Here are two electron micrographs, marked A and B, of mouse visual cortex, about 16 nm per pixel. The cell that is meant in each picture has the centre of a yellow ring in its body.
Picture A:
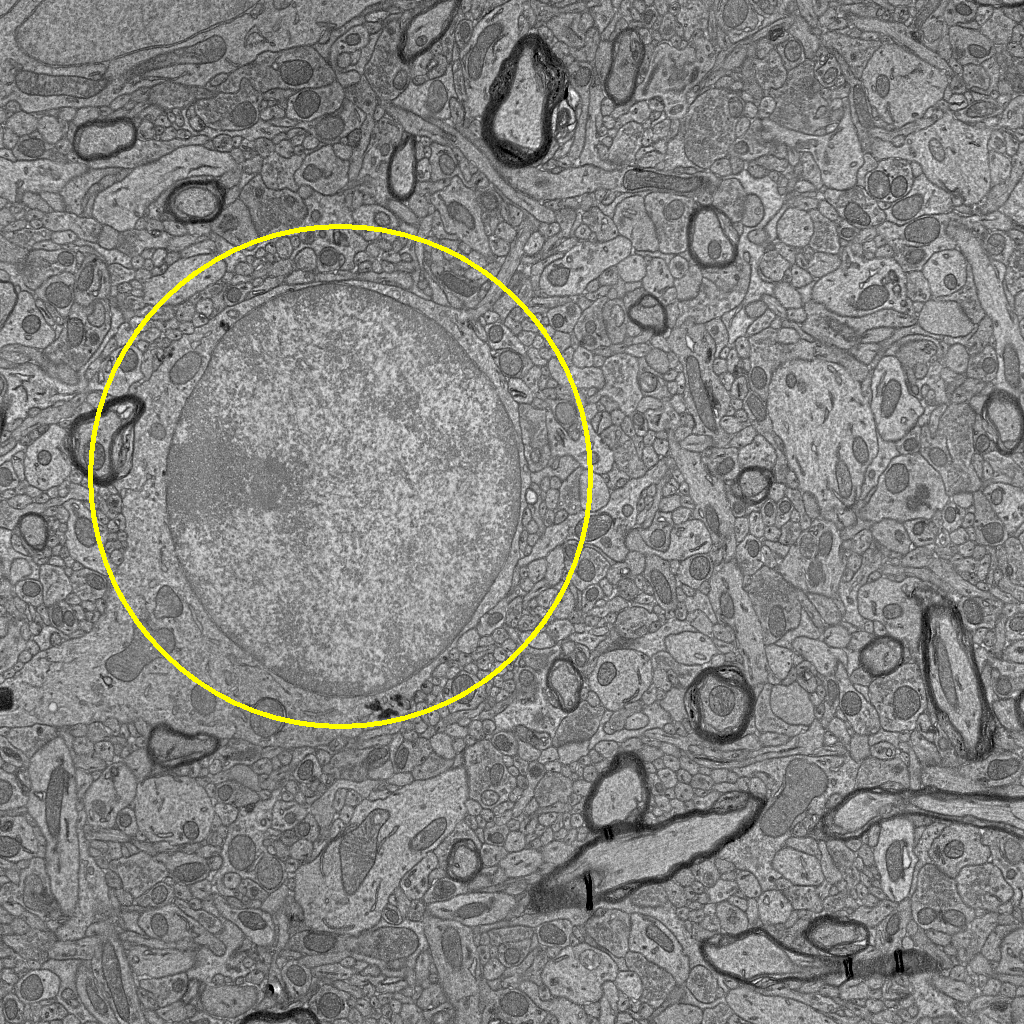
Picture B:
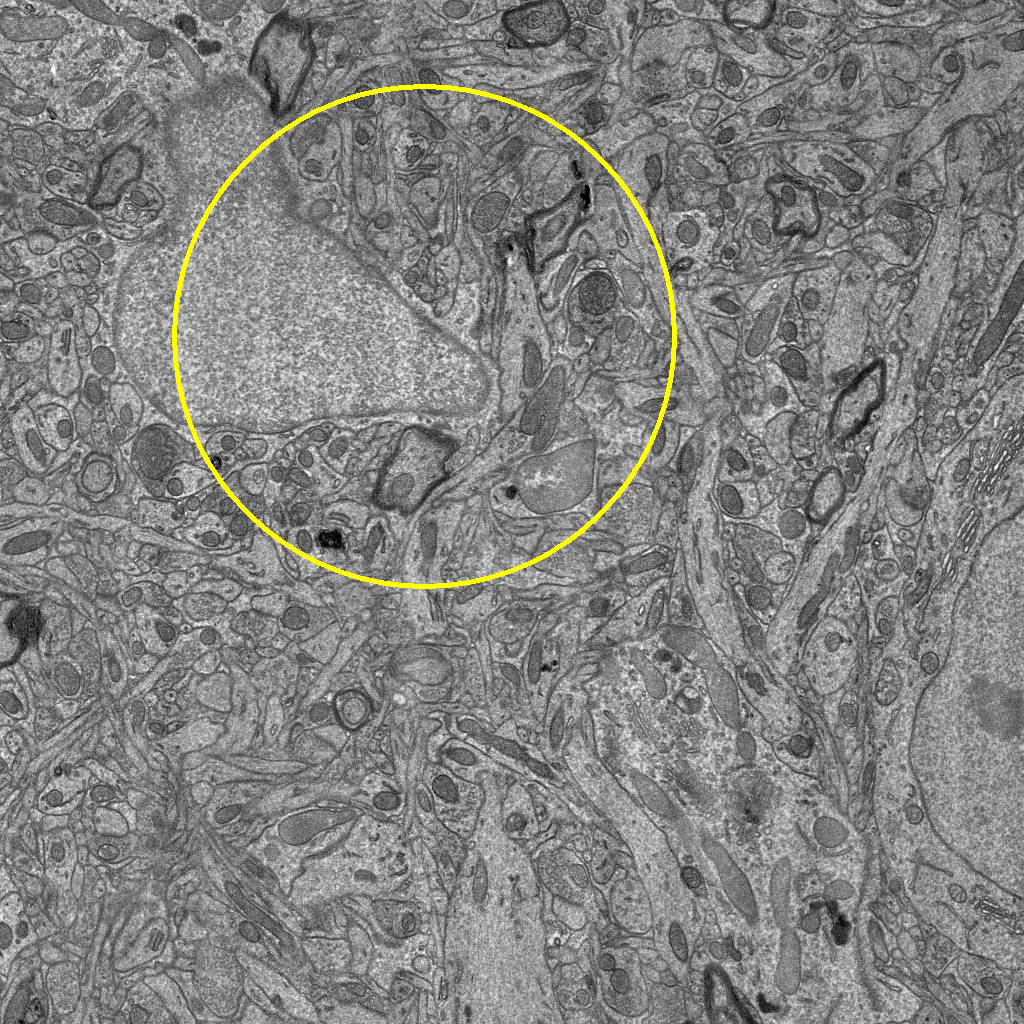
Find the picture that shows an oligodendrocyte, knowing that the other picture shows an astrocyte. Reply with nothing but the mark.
A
